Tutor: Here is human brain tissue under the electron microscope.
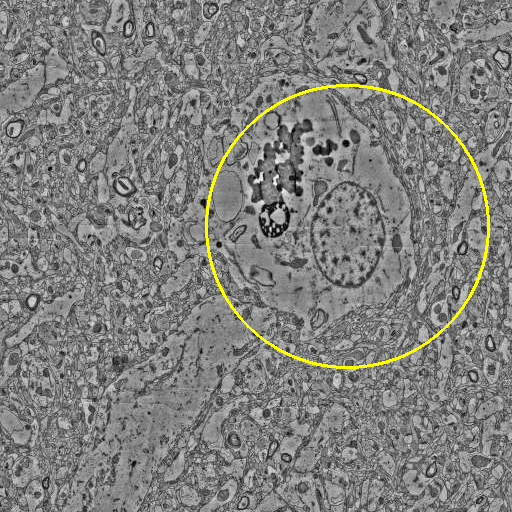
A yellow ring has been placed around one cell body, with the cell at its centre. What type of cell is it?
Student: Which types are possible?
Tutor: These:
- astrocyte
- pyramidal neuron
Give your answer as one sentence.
What the ring picks out here is an astrocyte.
